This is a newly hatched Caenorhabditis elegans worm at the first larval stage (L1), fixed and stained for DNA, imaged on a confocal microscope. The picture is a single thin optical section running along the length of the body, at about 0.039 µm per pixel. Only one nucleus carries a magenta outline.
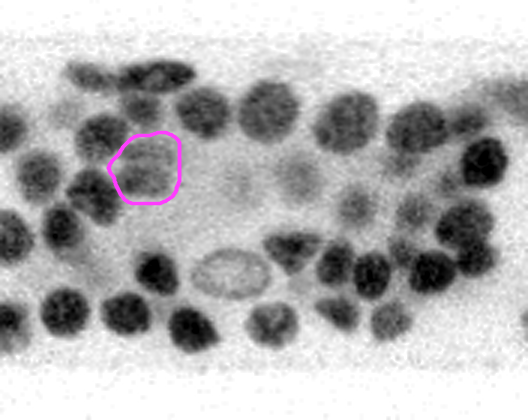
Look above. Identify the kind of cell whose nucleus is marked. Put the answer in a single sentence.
What is marked is the nucleus of a pharyngeal marginal cell.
